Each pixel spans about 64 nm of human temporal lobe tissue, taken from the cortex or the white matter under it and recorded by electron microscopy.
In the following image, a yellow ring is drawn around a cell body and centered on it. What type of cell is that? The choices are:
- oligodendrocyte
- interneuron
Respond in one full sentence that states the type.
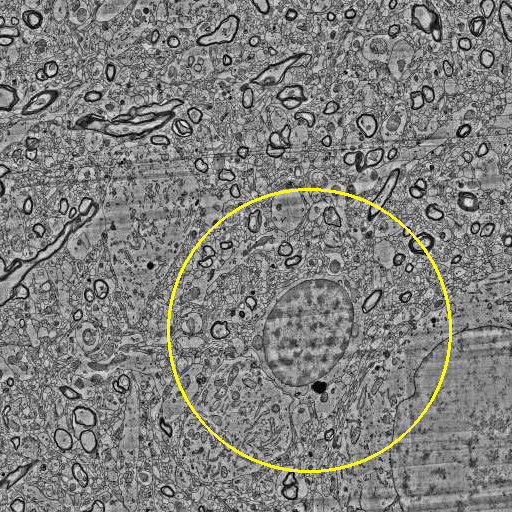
The cell at the center of the yellow ring in the image is an oligodendrocyte.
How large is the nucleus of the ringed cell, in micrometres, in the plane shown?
Approximately 7 x 5 micrometres in this plane.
